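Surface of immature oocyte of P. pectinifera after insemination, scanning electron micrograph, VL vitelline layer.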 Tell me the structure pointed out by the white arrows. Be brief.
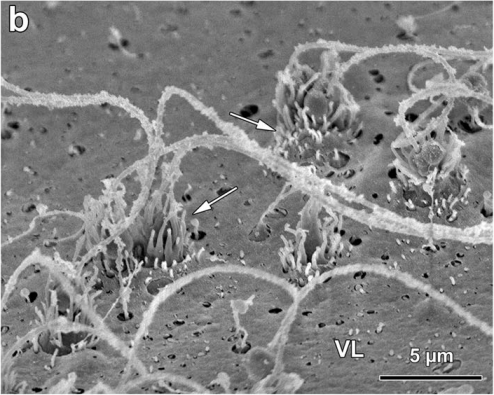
fertilization cones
